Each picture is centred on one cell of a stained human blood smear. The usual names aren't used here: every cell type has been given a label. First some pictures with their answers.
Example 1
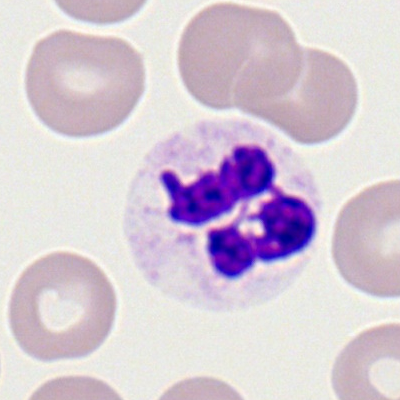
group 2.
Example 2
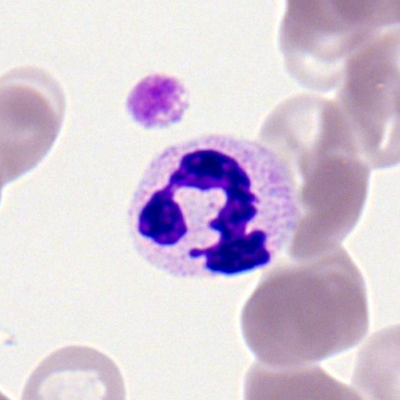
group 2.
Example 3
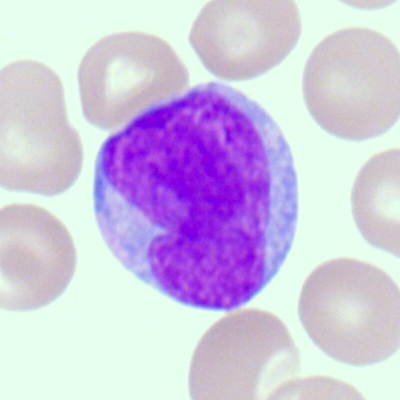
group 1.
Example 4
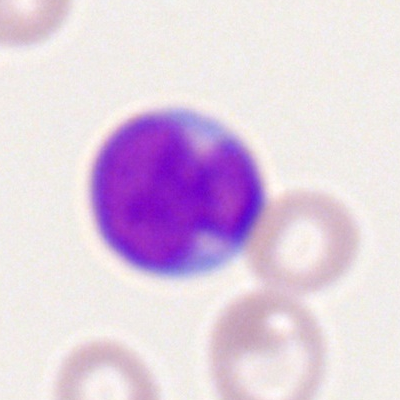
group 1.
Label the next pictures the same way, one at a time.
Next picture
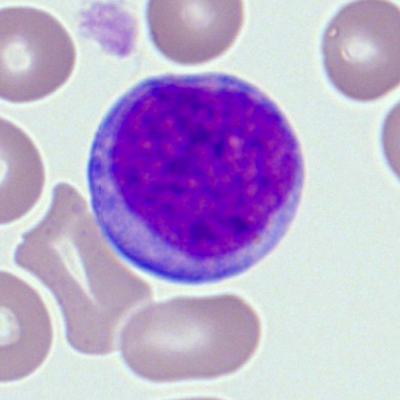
group 1.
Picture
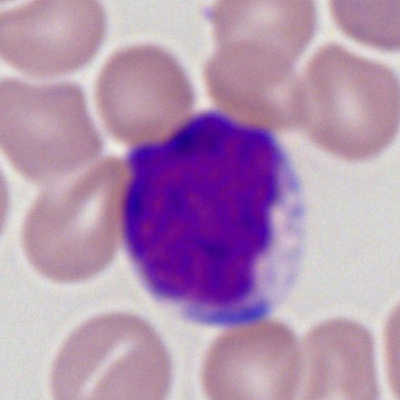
group 1.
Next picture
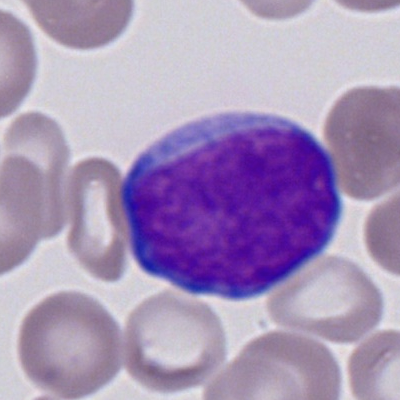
group 1.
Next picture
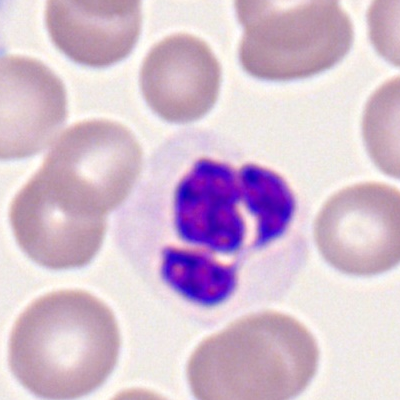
group 2.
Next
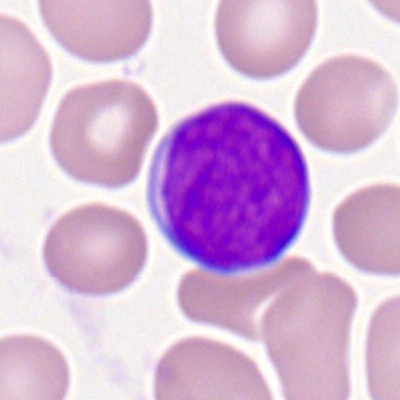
group 1.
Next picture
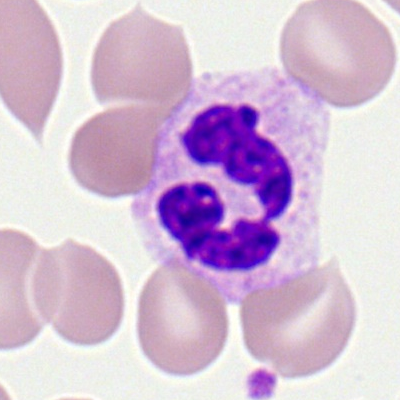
group 2.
